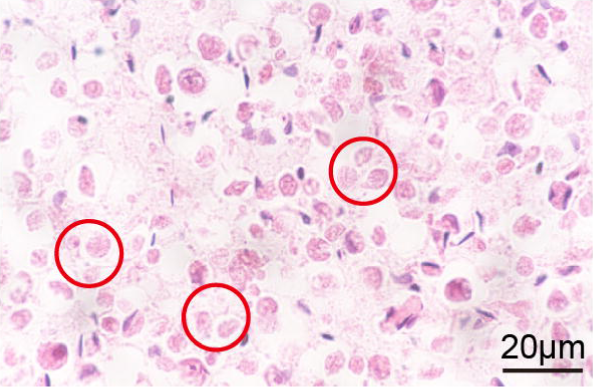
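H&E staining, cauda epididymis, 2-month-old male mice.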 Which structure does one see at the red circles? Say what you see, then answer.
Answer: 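Coiled eosin-stained structures without sperm heads. No dark elongated nucleus lies within the circled structures.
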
